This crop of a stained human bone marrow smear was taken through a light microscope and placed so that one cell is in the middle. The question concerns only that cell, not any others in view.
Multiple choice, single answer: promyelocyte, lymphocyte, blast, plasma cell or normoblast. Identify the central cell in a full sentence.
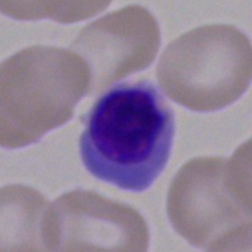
This crop is built around a normoblast at its centre.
